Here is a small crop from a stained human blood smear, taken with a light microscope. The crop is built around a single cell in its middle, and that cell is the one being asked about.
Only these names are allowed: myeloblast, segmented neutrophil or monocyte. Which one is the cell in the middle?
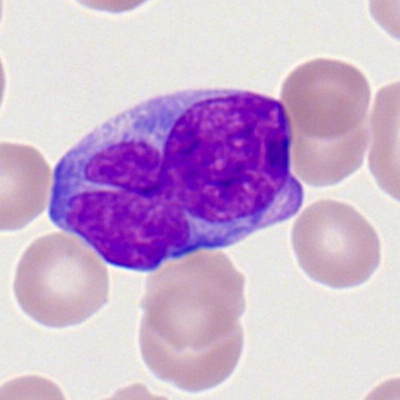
myeloblast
